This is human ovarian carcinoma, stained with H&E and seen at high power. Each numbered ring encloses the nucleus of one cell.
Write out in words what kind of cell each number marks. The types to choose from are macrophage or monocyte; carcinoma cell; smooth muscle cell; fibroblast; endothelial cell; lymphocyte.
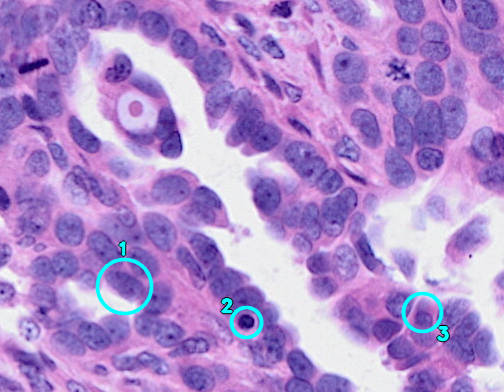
Cell 1 is a carcinoma cell, cell 2 is a lymphocyte and cell 3 is a carcinoma cell.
